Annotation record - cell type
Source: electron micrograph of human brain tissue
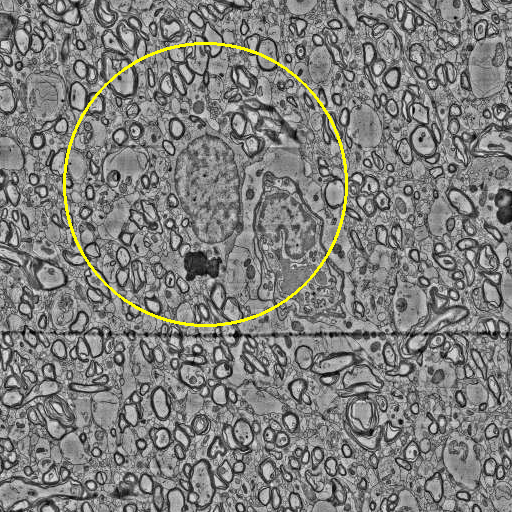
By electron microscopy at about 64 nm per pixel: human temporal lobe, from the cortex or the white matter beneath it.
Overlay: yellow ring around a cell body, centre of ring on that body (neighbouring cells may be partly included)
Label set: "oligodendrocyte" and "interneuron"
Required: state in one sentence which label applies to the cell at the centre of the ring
This cell should be labelled as an oligodendrocyte.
